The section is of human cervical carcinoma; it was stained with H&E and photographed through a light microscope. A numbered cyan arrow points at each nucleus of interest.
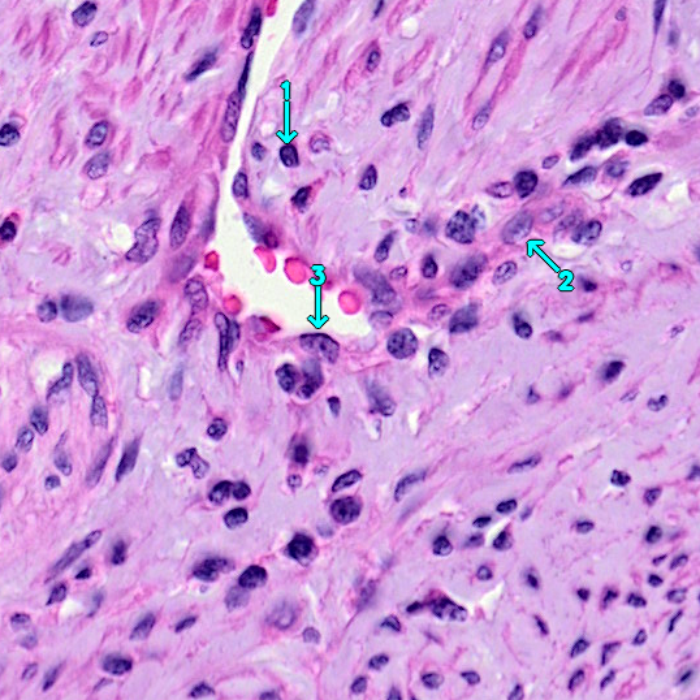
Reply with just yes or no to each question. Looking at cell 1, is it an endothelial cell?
no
